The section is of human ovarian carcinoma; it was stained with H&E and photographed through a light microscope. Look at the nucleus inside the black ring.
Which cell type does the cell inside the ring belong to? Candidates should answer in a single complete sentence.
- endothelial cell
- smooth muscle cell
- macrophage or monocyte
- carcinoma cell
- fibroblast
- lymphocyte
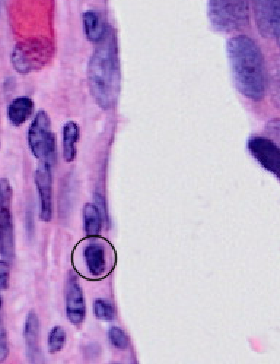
In this section of tissue, the cell inside the ring is a lymphocyte.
